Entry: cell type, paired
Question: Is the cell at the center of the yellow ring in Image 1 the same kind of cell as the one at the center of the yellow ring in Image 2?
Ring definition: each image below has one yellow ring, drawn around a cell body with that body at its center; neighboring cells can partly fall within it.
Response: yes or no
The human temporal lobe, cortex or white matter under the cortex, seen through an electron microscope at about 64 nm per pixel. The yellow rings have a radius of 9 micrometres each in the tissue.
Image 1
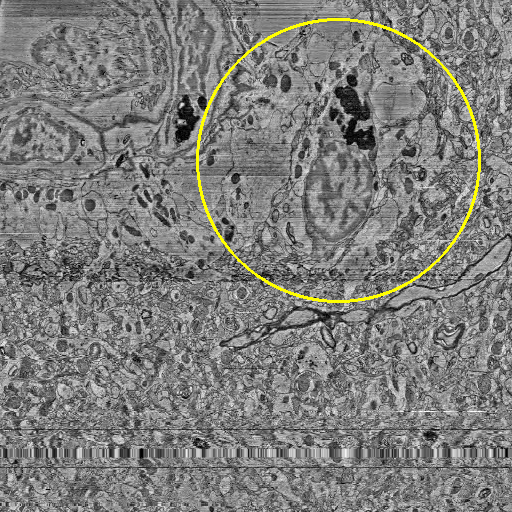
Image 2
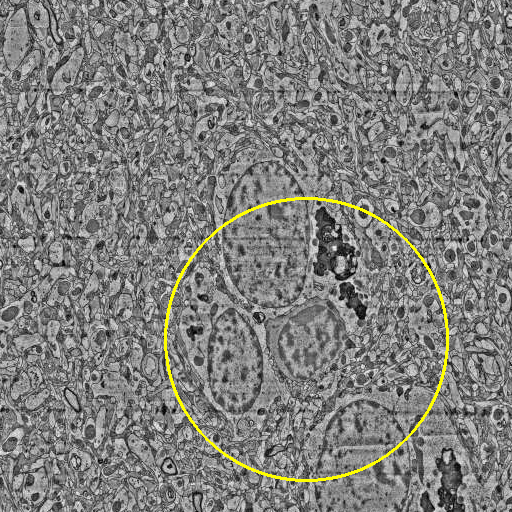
yes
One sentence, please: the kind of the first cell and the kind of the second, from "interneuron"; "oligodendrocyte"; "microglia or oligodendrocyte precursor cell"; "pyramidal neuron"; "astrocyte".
Both the first and the second picture show an oligodendrocyte in the ring.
